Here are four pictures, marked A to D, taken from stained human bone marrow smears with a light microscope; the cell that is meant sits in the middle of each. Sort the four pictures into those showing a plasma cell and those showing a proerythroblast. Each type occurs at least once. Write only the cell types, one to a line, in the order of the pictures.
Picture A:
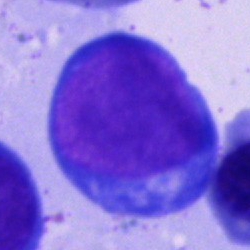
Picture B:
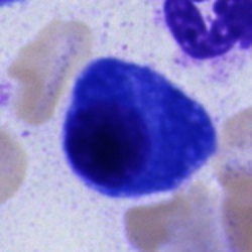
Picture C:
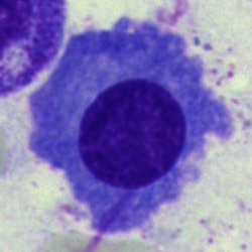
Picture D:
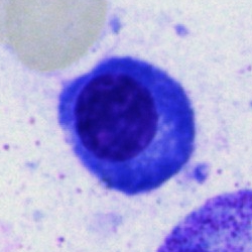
proerythroblast
plasma cell
plasma cell
plasma cell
